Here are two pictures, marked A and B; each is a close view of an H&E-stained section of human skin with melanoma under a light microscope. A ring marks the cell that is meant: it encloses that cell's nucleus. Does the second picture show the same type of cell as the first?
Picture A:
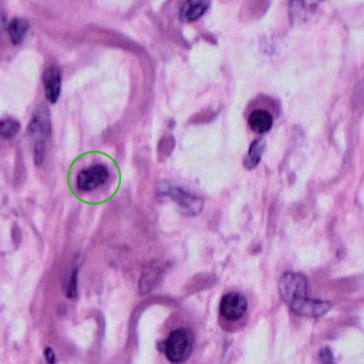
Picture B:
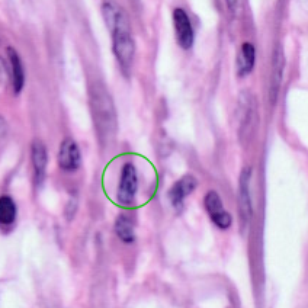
yes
